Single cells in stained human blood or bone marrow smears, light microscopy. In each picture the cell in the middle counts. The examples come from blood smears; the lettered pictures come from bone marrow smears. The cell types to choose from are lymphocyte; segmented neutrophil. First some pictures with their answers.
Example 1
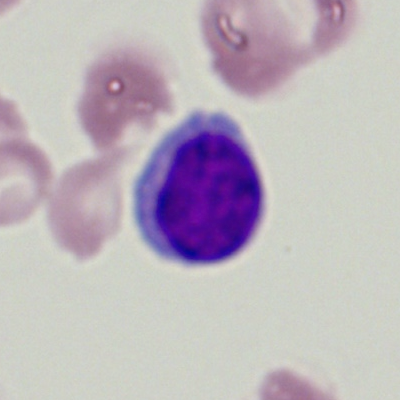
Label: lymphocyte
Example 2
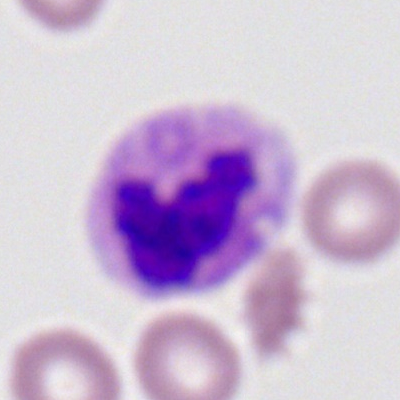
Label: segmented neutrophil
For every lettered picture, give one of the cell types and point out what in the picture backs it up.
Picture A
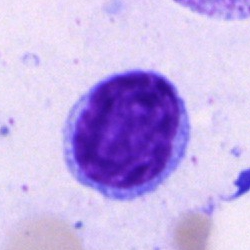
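Label: lymphocyte. The cytoplasm forms only a thin rim around the nucleus.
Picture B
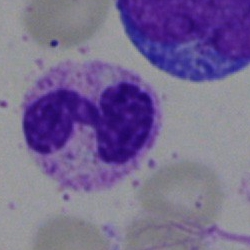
Label: segmented neutrophil. The cytoplasm is plentiful and pale pinkish-lilac.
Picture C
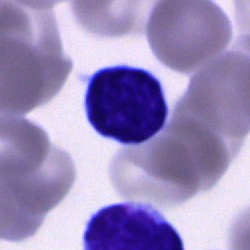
Label: lymphocyte. The nucleus fills almost the whole cell, leaving at most a barely visible rim of cytoplasm.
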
